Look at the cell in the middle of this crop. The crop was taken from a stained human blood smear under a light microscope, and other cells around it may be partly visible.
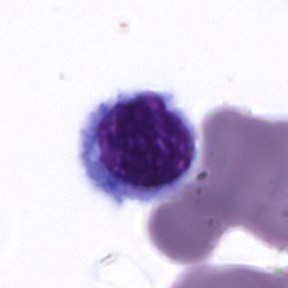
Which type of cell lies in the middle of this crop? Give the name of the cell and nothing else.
plasma cell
